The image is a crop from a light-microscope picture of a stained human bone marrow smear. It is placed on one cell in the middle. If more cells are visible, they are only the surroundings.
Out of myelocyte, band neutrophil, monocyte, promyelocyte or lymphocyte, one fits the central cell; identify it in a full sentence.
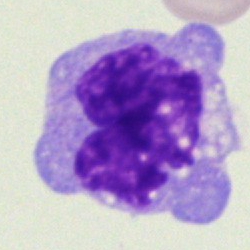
To answer, the cell in the center of the crop is a monocyte.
